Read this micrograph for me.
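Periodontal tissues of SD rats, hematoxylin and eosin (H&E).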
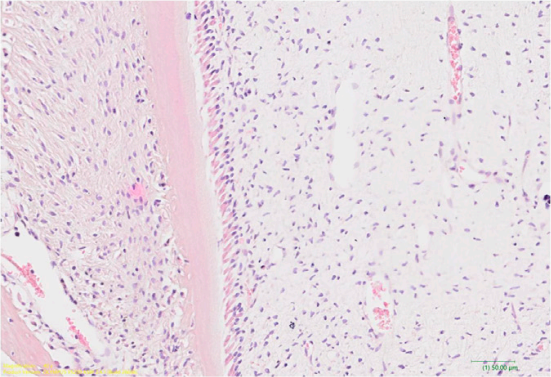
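Right against one side of it lies a single row of tall, tightly packed cells with elongated purple nuclei, standing like a palisade. Beyond that row is loose, pale tissue with scattered star-shaped or spindle cells and small vessels filled with red blood cells. On the far side of the pink band, the tissue is denser, and its elongated cells and fibres run roughly in the same direction.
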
